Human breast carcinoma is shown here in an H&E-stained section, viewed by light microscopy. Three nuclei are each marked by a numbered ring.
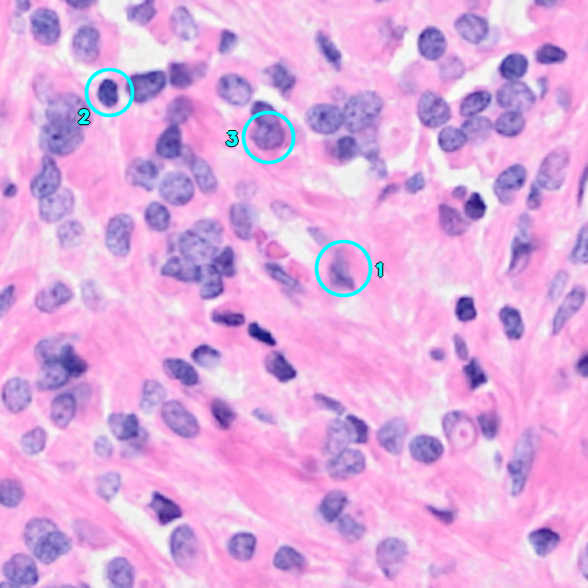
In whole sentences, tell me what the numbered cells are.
Cell 1 is an endothelial cell, cell 2 is a lymphocyte and cell 3 is a carcinoma cell.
